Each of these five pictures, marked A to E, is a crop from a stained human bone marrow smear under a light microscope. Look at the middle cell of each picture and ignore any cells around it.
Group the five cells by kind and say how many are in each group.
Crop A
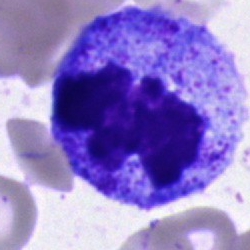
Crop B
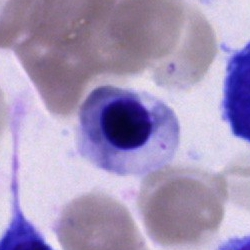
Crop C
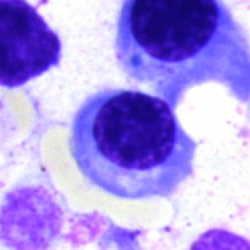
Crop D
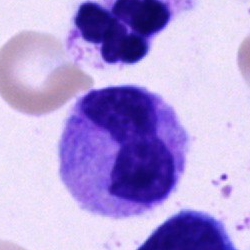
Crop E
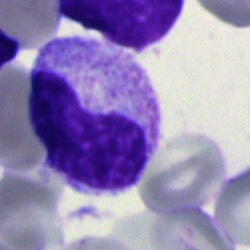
erythroblast: 2
metamyelocyte: 2
promyelocyte: 1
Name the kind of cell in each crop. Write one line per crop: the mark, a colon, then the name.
A: promyelocyte
B: erythroblast
C: erythroblast
D: metamyelocyte
E: metamyelocyte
